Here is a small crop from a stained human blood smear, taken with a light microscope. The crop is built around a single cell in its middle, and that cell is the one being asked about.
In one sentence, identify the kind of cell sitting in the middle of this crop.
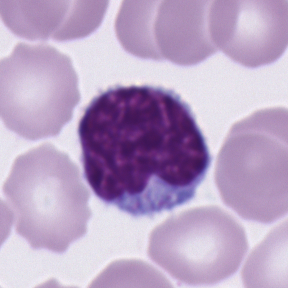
The center cell of this crop is a typical lymphocyte.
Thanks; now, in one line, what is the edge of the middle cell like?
No smooth contour is present; the border is ragged or extended into projections.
